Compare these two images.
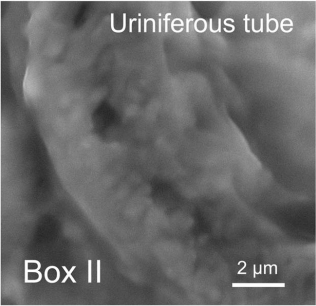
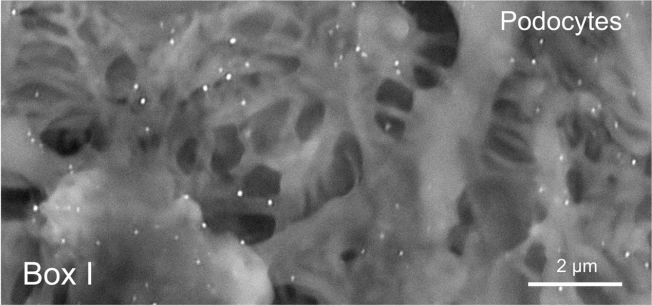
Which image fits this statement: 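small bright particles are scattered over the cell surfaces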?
The second image.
